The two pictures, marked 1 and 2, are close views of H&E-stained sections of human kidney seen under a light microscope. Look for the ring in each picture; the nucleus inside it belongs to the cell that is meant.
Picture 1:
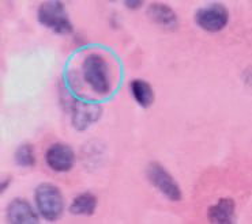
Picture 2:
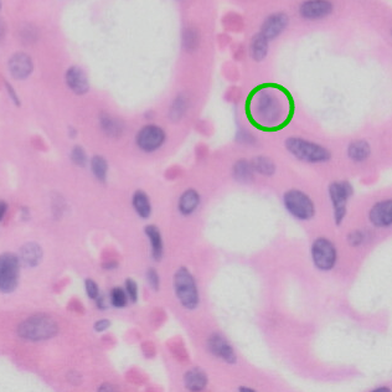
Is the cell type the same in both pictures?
yes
